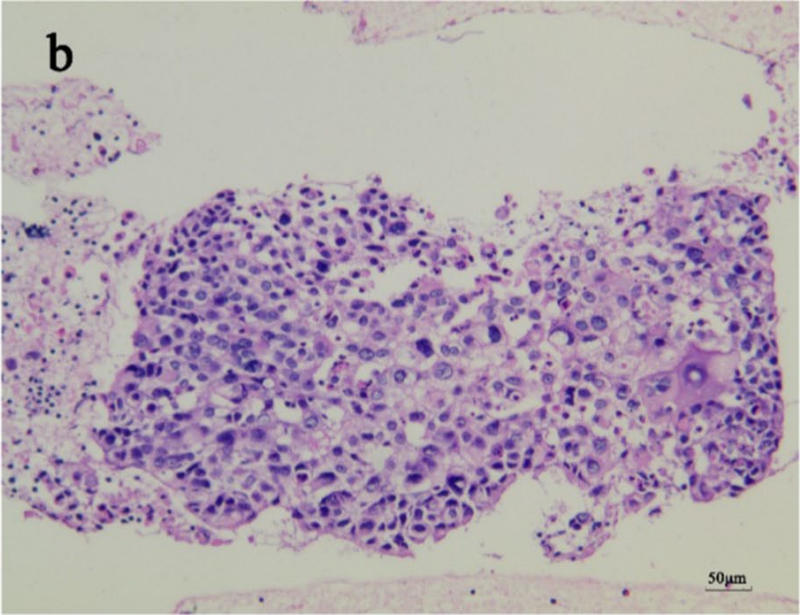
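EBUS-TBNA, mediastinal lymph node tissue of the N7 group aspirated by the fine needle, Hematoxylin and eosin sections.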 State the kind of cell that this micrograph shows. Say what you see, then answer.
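A cohesive cluster of large cells with pink cytoplasm. Nuclei vary markedly in size, some very large and dark. Scattered small dark cells lie around the cluster. The answer: Squamous cell clusters.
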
